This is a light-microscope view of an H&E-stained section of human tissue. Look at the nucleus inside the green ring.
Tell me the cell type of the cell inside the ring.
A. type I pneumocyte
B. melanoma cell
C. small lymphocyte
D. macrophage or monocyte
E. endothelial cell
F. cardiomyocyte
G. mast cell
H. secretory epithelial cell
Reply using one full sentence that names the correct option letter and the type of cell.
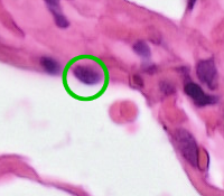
Option A is the right one; the cell inside the ring is a type I pneumocyte.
